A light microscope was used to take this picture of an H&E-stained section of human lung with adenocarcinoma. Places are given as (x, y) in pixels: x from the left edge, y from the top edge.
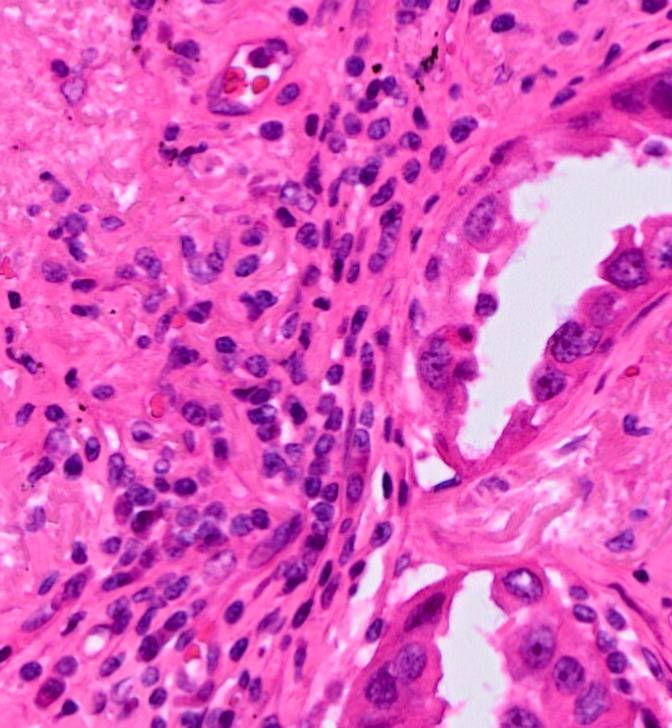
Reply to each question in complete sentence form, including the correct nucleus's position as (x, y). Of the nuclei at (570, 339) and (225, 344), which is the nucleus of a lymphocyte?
The cell to which the nucleus at (225, 344) belongs is a lymphocyte.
